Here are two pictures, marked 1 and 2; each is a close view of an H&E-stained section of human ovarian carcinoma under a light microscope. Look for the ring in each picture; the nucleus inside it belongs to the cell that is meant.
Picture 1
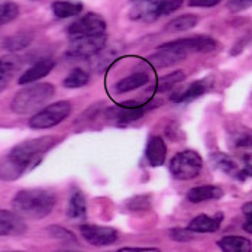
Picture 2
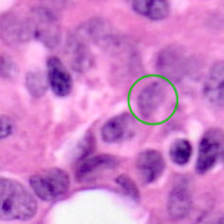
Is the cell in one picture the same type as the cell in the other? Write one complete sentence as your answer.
Yes, both cells are carcinoma cells.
